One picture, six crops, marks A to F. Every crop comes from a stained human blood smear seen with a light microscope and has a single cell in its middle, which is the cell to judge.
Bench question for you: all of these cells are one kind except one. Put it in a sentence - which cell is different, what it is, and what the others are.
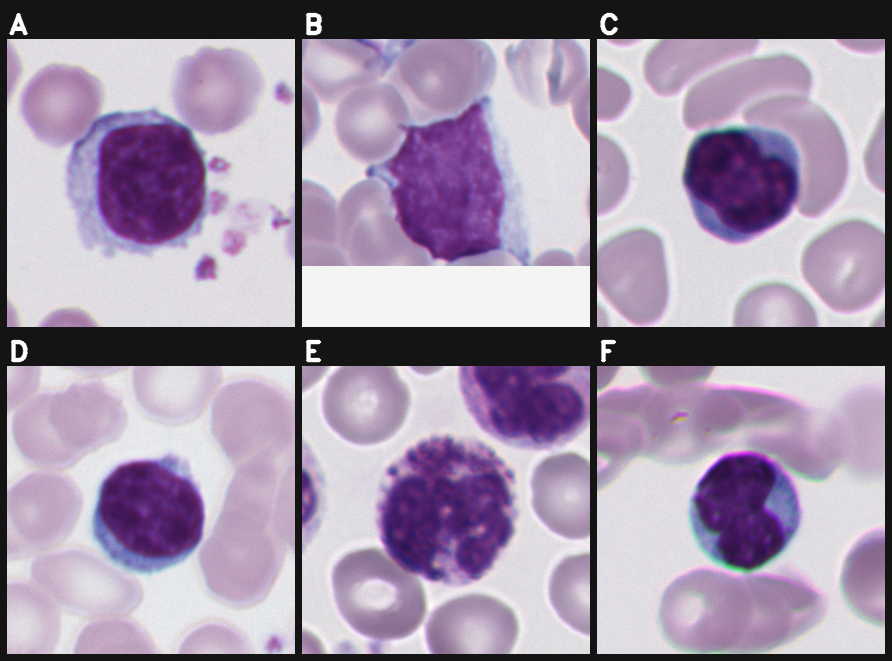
Crop E presents a basophil, while typical lymphocytes are presented by all other crops.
